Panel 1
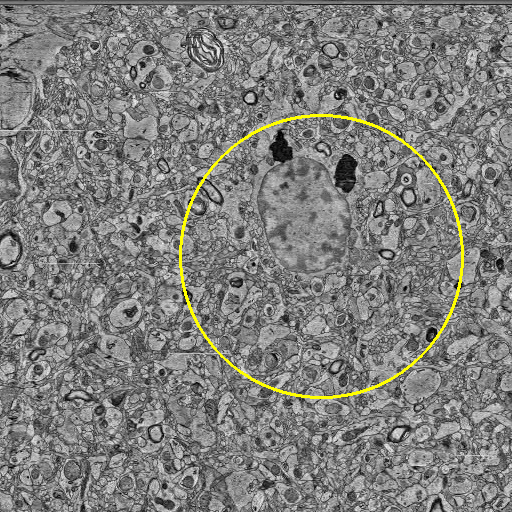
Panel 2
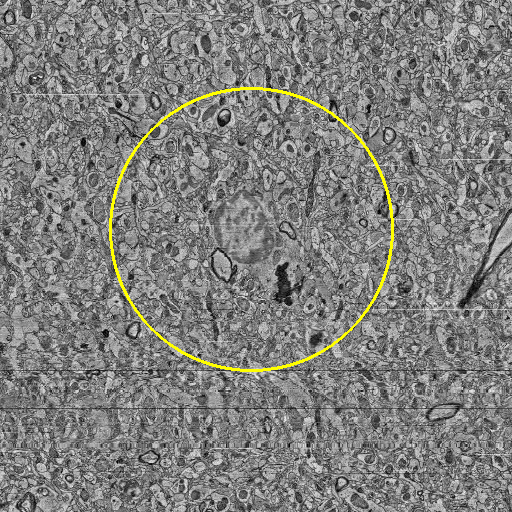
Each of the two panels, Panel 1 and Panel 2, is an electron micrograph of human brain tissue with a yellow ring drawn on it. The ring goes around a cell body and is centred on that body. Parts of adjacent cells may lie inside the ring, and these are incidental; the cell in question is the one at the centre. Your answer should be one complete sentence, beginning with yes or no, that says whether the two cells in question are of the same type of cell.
Yes, the two cells are of the same type.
